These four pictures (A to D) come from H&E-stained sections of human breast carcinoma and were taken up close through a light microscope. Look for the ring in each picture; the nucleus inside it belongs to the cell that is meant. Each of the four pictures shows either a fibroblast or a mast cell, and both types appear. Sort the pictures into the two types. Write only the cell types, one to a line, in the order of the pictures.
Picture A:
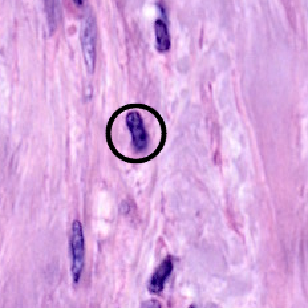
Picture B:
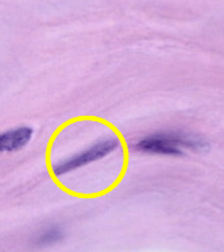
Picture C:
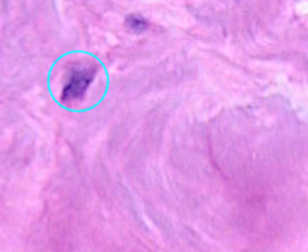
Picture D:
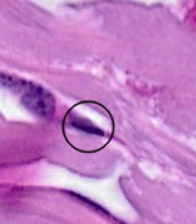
mast cell
fibroblast
fibroblast
fibroblast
